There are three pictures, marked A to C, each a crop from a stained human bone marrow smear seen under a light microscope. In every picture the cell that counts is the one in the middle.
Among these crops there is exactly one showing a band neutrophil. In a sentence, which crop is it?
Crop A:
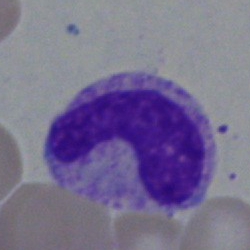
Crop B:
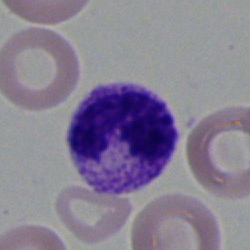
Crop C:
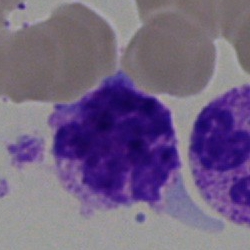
Look at crop A; that is the one with a band neutrophil in its center.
